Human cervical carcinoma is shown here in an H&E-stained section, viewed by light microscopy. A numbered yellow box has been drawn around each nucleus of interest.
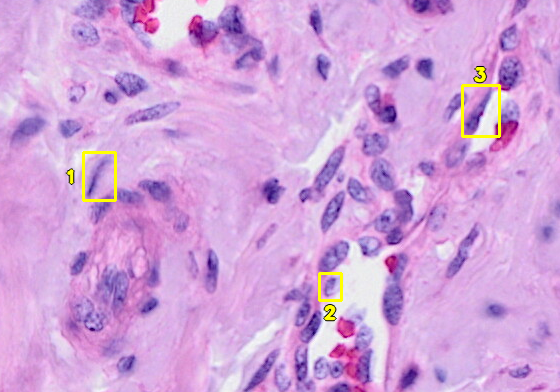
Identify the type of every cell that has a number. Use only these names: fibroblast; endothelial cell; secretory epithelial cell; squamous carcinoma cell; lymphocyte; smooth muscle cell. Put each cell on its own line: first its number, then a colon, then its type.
1: fibroblast
2: endothelial cell
3: endothelial cell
